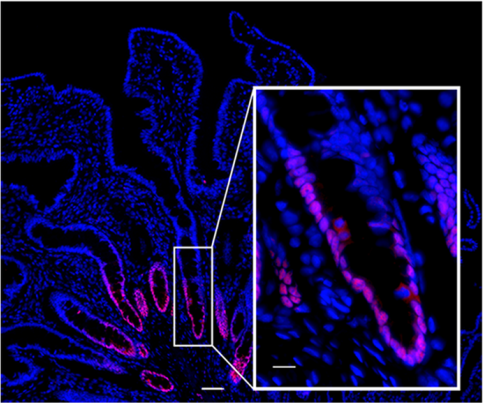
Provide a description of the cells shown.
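A section of small intestine shows tall finger-like villi above and short tubular crypts below, with blue nuclei throughout. Red-magenta staining is restricted to the epithelial cells lining the bottom of the crypts, where the inset shows a single row of elongated columnar cells whose nuclei carry the stain. These crypt base cells are the stained population, and the villus epithelium is unstained.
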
